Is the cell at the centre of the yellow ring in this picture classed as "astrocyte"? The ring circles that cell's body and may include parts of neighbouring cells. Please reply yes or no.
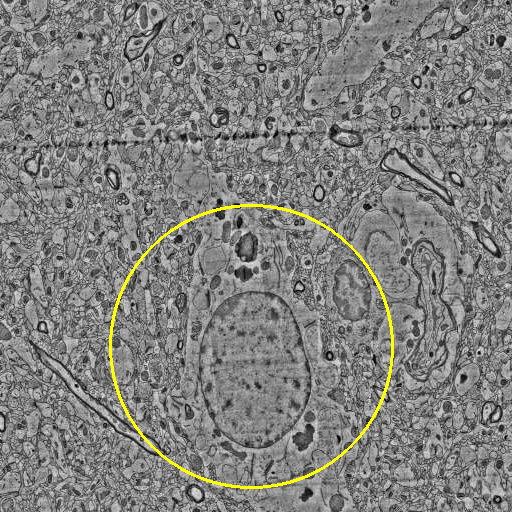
Yes, it is of that kind.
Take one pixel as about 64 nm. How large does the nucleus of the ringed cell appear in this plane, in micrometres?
In this plane the nucleus spans approximately 10 by 7 micrometers.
